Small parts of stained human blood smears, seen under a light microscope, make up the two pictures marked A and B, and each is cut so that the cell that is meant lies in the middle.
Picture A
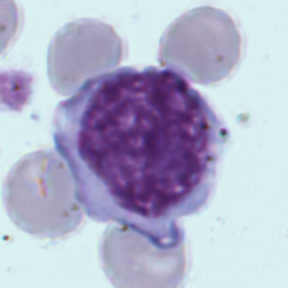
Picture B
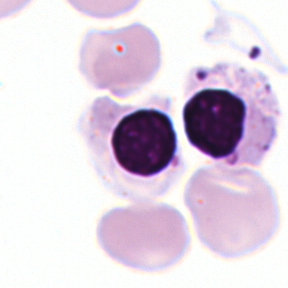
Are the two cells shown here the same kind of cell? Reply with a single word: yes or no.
no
